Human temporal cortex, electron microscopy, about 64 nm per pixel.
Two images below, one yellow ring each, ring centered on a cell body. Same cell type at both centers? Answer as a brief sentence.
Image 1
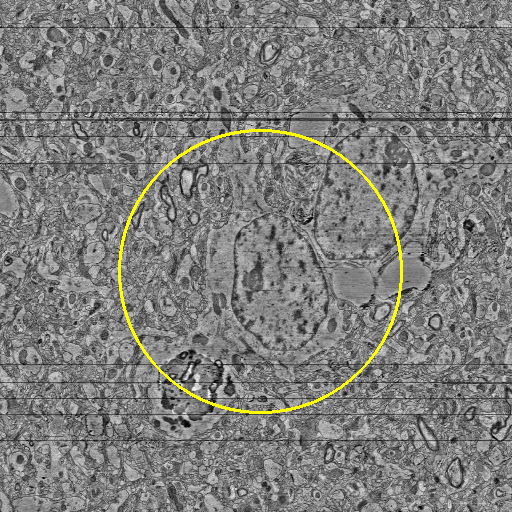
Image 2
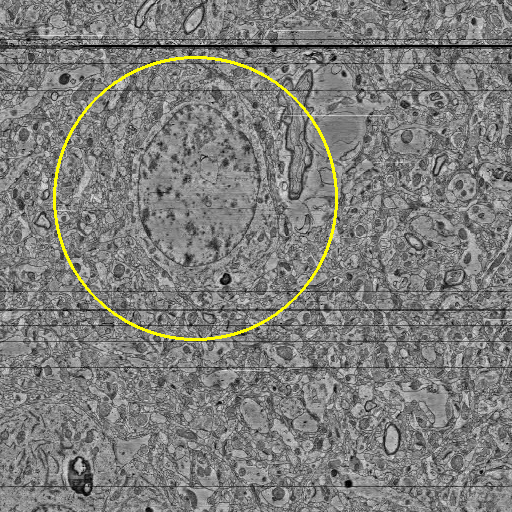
No, the cells are of two separate types.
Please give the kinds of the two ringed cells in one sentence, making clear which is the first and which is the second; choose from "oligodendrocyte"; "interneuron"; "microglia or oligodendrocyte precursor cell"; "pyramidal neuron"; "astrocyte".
In the second picture the ringed cell is a pyramidal neuron; in the first it is an astrocyte.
